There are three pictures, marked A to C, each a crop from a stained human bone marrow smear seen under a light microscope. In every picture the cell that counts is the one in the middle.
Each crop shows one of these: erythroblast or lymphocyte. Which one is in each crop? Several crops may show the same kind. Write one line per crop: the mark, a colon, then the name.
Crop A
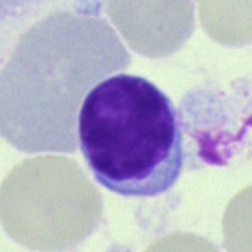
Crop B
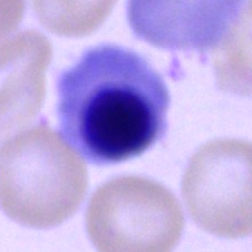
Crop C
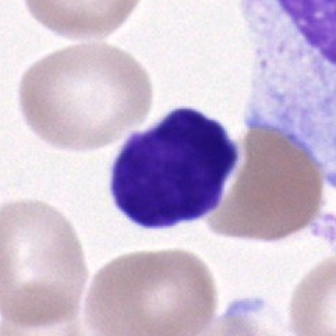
A: lymphocyte
B: erythroblast
C: lymphocyte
